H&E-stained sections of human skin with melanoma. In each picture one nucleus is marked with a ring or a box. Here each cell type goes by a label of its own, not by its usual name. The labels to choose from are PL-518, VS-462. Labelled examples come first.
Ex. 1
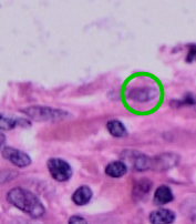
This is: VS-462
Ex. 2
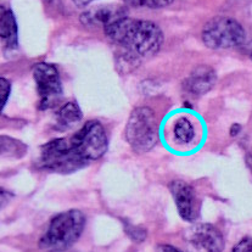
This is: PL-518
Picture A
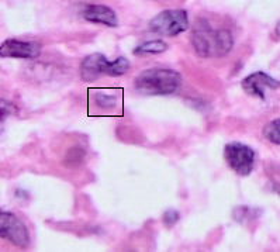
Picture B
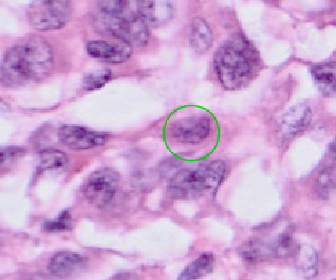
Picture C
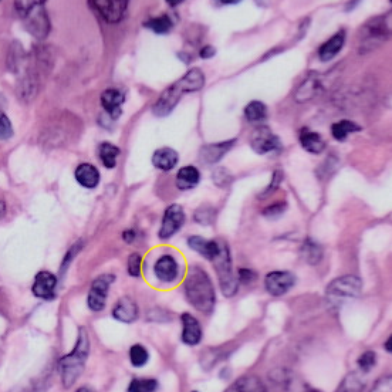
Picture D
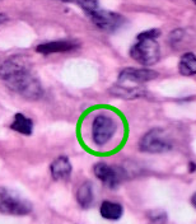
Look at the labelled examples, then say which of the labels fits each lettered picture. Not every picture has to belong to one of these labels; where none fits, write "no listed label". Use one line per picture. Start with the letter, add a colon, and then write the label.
A: VS-462
B: no listed label
C: PL-518
D: PL-518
